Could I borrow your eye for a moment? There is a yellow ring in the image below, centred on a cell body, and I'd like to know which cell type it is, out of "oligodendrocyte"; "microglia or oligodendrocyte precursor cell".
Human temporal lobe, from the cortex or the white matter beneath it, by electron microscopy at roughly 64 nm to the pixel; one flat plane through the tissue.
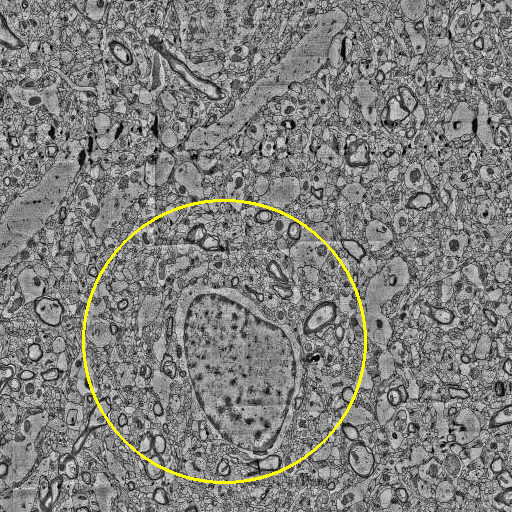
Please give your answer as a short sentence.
The cell body at the centre is that of a microglial cell or oligodendrocyte precursor cell.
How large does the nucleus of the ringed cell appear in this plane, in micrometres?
Approximately 11 by 7 micrometers in this plane.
